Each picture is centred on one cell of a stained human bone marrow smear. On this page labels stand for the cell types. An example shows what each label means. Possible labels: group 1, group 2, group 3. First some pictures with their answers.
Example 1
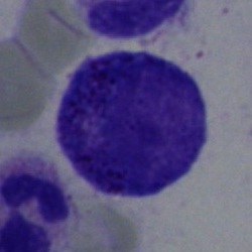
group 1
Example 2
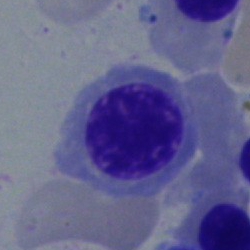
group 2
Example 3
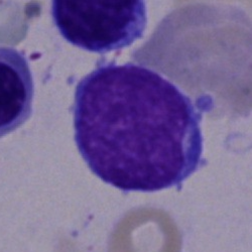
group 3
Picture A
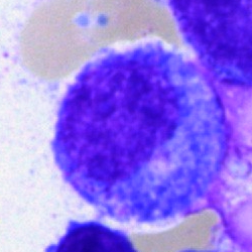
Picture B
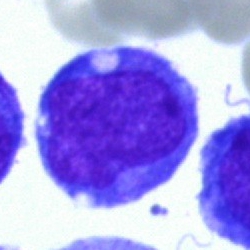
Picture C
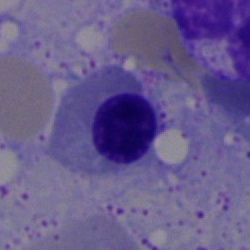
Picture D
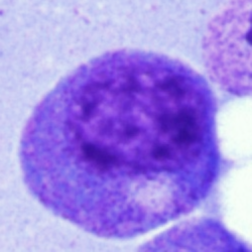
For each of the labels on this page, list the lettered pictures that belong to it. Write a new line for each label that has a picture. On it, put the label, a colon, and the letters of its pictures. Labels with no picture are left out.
group 1: A, D
group 2: C
group 3: B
